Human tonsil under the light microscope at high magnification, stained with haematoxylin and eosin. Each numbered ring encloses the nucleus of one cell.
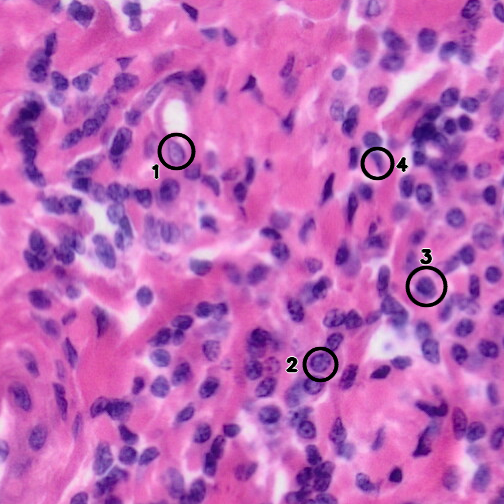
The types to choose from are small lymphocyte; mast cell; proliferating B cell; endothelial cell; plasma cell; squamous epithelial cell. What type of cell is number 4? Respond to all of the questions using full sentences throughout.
Cell 4, as marked in the section, is a mast cell.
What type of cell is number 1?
Among the marked cells, number 1 is an endothelial cell.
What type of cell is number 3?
The cell indicated by marker 3 is a mast cell in this section.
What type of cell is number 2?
The numeral 2 marks a plasma cell in this section.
